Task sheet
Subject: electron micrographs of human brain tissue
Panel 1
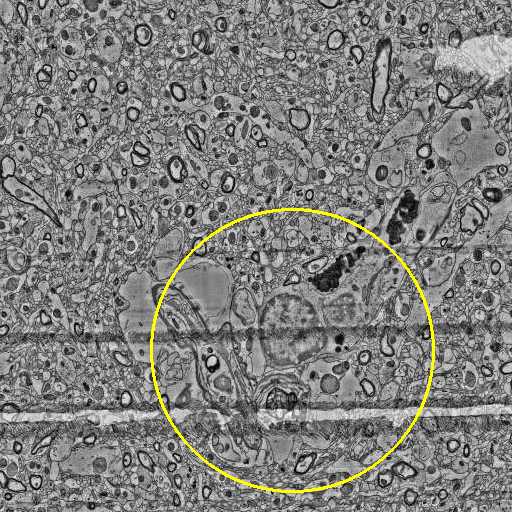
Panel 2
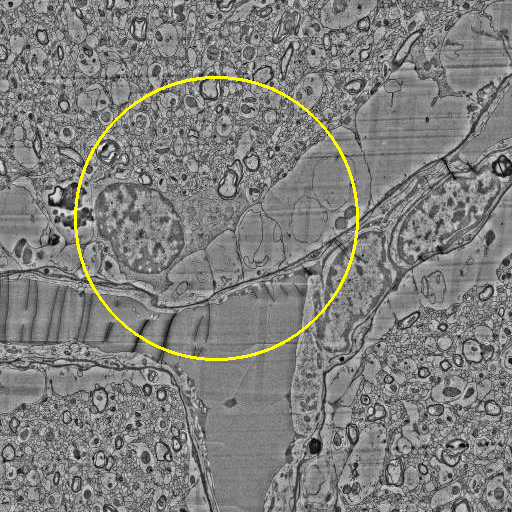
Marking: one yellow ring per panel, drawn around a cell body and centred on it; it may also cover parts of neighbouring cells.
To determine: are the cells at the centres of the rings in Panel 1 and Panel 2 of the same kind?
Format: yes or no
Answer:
yes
